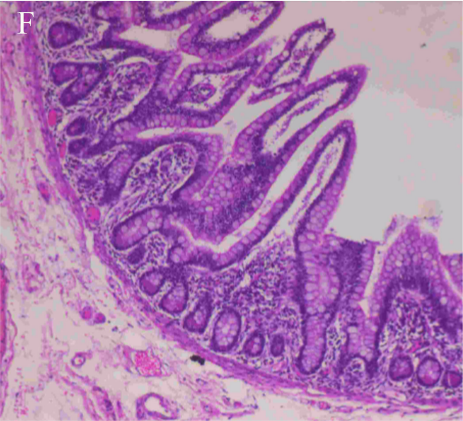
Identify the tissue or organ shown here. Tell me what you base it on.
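Finger-like villi are lined by tall columnar epithelium. Pale goblet cells are interspersed in the epithelium. Tubular crypts sit at the base of the mucosa above pale submucosa.
Answer: bowel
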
